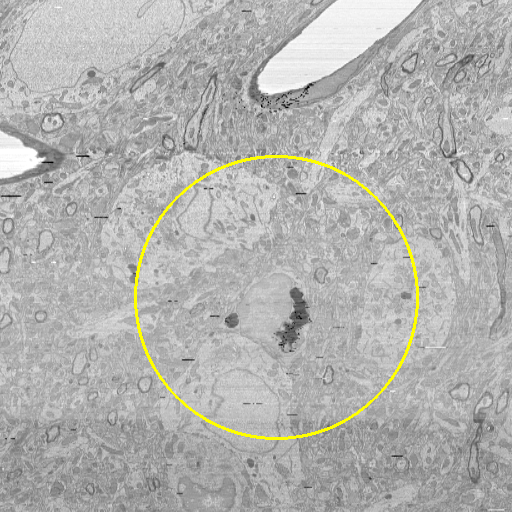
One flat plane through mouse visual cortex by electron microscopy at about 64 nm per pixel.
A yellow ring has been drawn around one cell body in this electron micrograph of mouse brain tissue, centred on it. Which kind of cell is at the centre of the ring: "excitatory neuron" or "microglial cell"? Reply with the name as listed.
microglial cell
